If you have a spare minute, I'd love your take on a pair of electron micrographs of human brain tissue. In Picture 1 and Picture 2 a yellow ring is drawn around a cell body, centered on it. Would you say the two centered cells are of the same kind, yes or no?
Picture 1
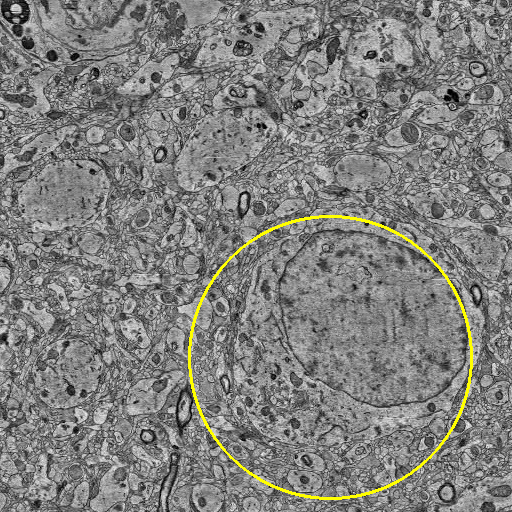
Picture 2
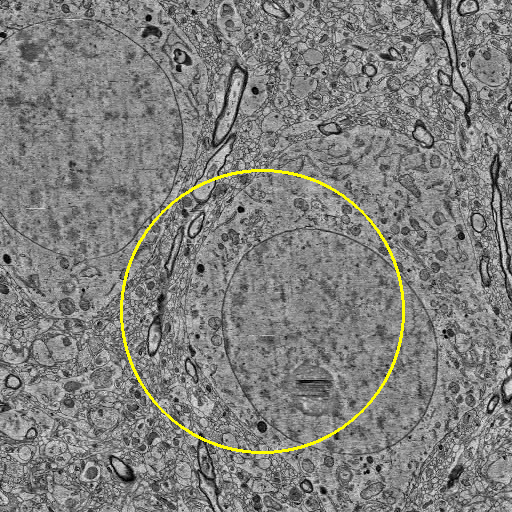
yes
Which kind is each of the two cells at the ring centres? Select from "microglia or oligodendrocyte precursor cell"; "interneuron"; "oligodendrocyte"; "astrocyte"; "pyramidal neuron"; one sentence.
Each cell at the centre of a ring is a pyramidal neuron.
